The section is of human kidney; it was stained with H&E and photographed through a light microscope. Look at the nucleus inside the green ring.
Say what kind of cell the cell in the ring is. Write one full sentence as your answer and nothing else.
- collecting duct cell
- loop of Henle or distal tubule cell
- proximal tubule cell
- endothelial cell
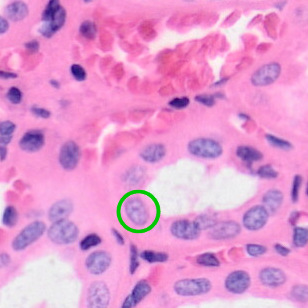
In the tissue under study, the cell in the ring is a collecting duct cell.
